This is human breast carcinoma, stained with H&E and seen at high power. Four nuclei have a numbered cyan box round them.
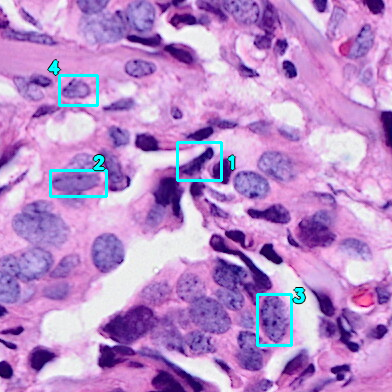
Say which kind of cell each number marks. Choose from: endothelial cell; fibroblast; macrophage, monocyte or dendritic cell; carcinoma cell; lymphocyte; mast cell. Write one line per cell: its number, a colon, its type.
1: carcinoma cell
2: carcinoma cell
3: carcinoma cell
4: macrophage, monocyte or dendritic cell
